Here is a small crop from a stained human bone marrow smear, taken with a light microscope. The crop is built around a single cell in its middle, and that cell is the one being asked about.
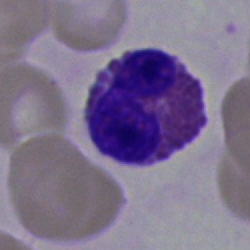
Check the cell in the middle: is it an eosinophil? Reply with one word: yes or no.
yes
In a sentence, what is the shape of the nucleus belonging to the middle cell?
What stands out is the nucleus, split into two or more lobes.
